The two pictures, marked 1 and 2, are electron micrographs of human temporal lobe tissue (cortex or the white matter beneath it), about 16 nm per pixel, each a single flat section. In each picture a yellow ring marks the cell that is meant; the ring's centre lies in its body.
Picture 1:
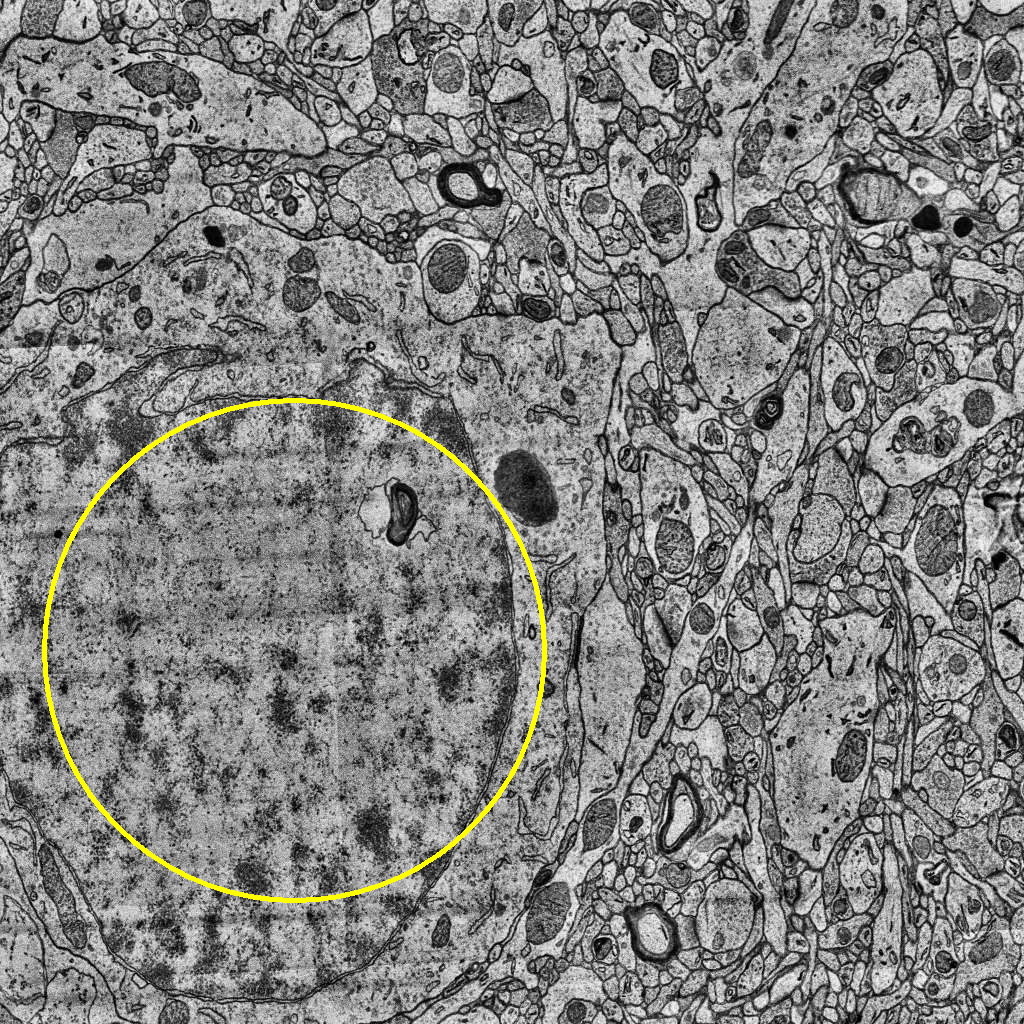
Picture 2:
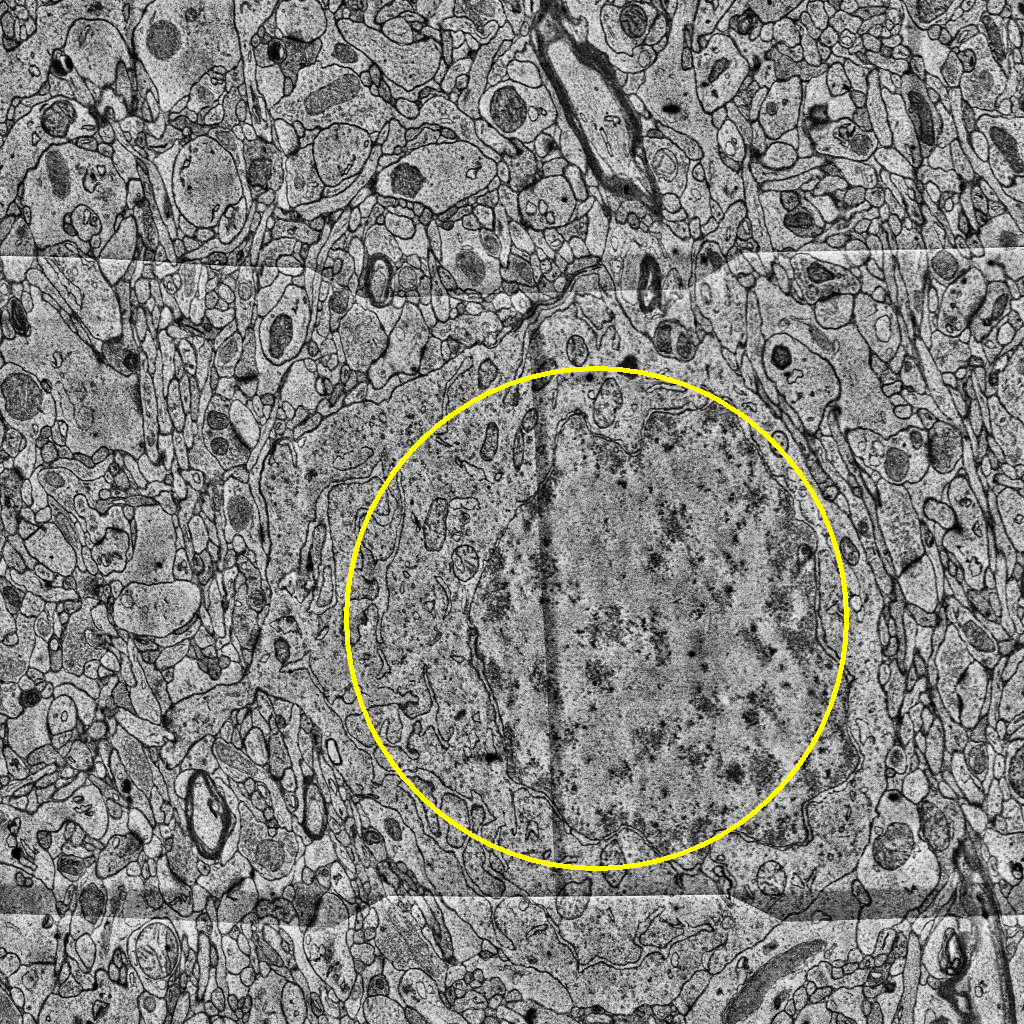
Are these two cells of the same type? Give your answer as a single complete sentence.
Yes, the two pictures both show interneurons.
